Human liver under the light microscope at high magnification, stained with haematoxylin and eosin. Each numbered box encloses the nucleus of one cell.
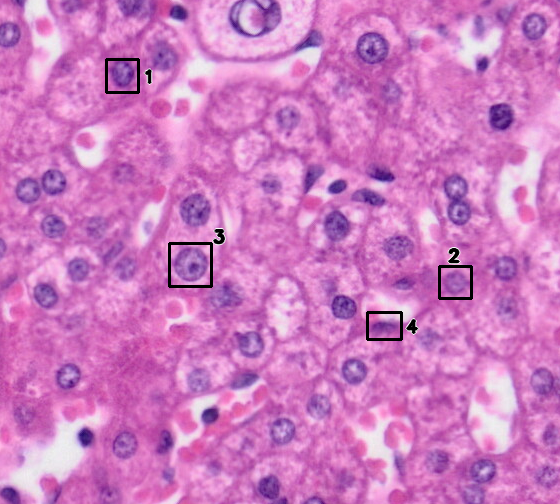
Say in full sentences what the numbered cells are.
Cell 1 is a hepatocyte, cell 2 is a hepatocyte, cell 3 is a hepatocyte and cell 4 is an endothelial cell.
